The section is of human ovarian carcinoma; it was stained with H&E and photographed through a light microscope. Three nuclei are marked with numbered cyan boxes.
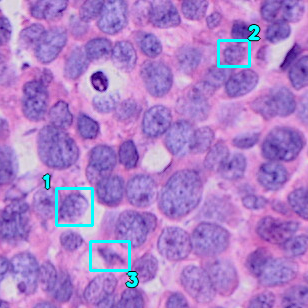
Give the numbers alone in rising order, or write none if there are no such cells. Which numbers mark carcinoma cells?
1, 2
